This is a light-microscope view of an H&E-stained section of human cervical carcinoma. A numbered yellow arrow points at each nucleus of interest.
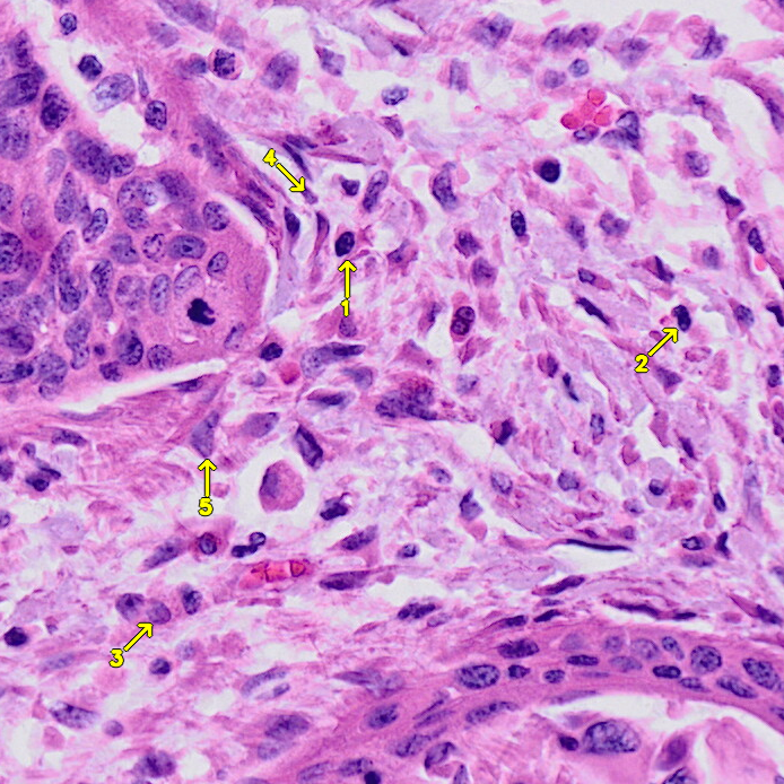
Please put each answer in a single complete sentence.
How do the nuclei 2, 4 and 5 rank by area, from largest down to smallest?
Going from the biggest nucleus down to the smallest gives 5, 2, 4.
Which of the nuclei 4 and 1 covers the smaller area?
The smaller nucleus is 4, and 1 covers roughly 4 times its area.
